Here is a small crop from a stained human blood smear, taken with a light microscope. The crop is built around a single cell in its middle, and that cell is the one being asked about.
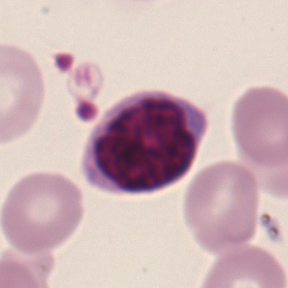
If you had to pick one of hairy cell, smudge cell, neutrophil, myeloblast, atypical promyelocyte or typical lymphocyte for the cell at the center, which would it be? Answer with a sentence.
What sits at the centre of this crop is a typical lymphocyte.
